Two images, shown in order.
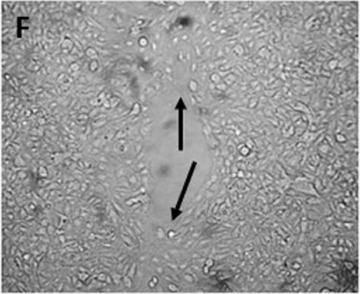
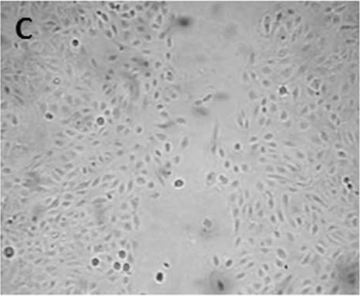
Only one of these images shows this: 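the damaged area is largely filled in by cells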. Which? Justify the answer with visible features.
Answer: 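First image: the cell sheet is nearly continuous, with only a narrow residual gap. Second image: a broad band with sparse cells still runs through the middle.
Hence: the first image.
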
